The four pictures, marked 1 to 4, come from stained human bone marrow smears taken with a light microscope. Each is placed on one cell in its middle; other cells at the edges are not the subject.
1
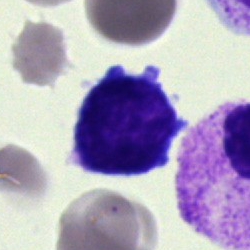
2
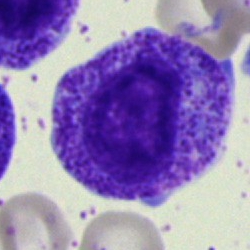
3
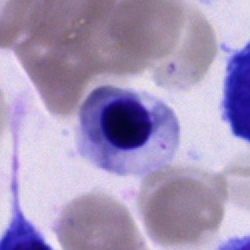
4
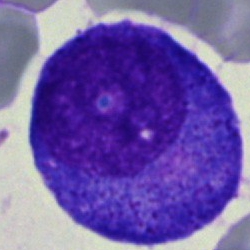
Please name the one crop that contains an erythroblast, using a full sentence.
Of the cells presented, the one in crop 3 is an erythroblast.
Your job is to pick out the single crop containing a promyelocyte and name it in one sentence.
In this series, a promyelocyte is shown by crop 4.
